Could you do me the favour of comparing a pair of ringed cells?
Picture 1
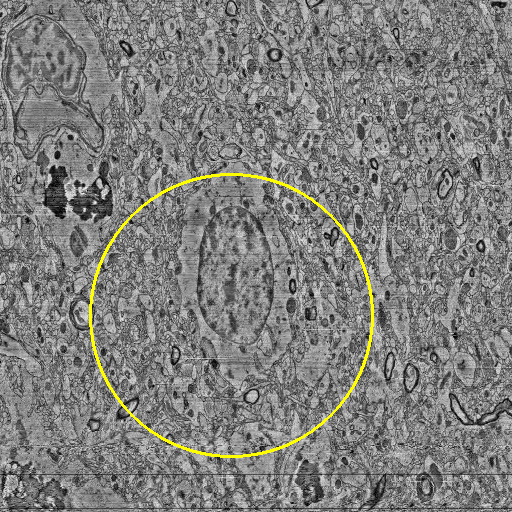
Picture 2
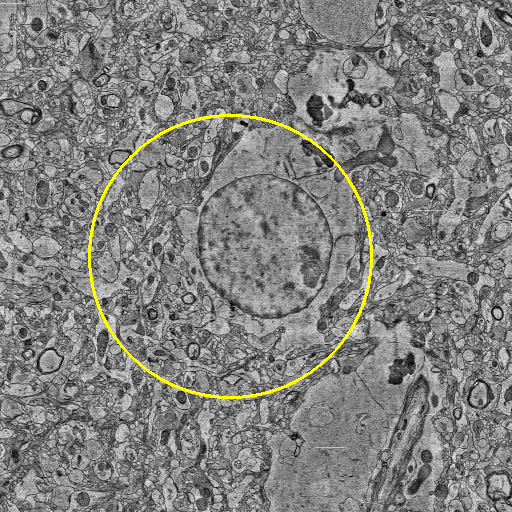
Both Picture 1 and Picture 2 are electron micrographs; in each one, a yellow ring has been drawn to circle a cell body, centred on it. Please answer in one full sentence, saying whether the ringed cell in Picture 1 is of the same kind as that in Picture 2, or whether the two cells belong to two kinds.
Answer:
The ringed cell in Picture 1 is of the same kind as that in Picture 2.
